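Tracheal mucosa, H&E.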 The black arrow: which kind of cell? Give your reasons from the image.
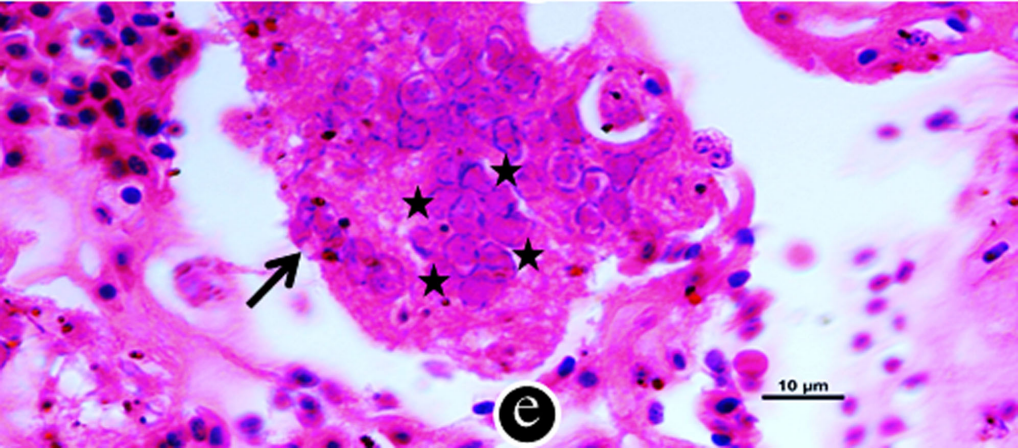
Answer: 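The arrow points to the edge of a large pink cytoplasmic mass. Many nuclei are packed together within the one mass. That points to this answer: syncytia.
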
